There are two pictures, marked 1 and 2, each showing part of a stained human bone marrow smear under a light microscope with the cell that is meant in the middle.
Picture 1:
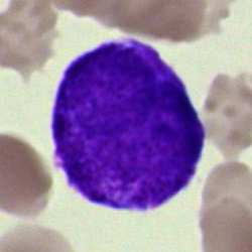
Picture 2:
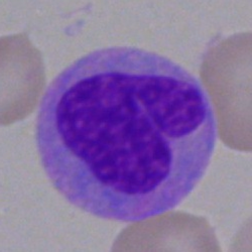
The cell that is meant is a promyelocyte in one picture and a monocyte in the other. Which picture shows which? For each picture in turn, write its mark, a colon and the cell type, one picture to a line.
1: promyelocyte
2: monocyte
